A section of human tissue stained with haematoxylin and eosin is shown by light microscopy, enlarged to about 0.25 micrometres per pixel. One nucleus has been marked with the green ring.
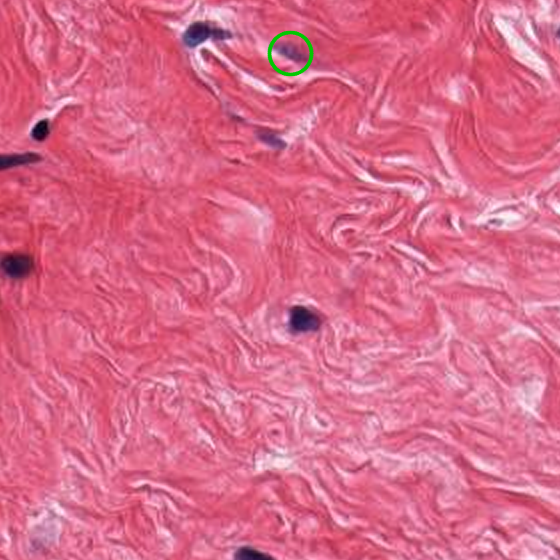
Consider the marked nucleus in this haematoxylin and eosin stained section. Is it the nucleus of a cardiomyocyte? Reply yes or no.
no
